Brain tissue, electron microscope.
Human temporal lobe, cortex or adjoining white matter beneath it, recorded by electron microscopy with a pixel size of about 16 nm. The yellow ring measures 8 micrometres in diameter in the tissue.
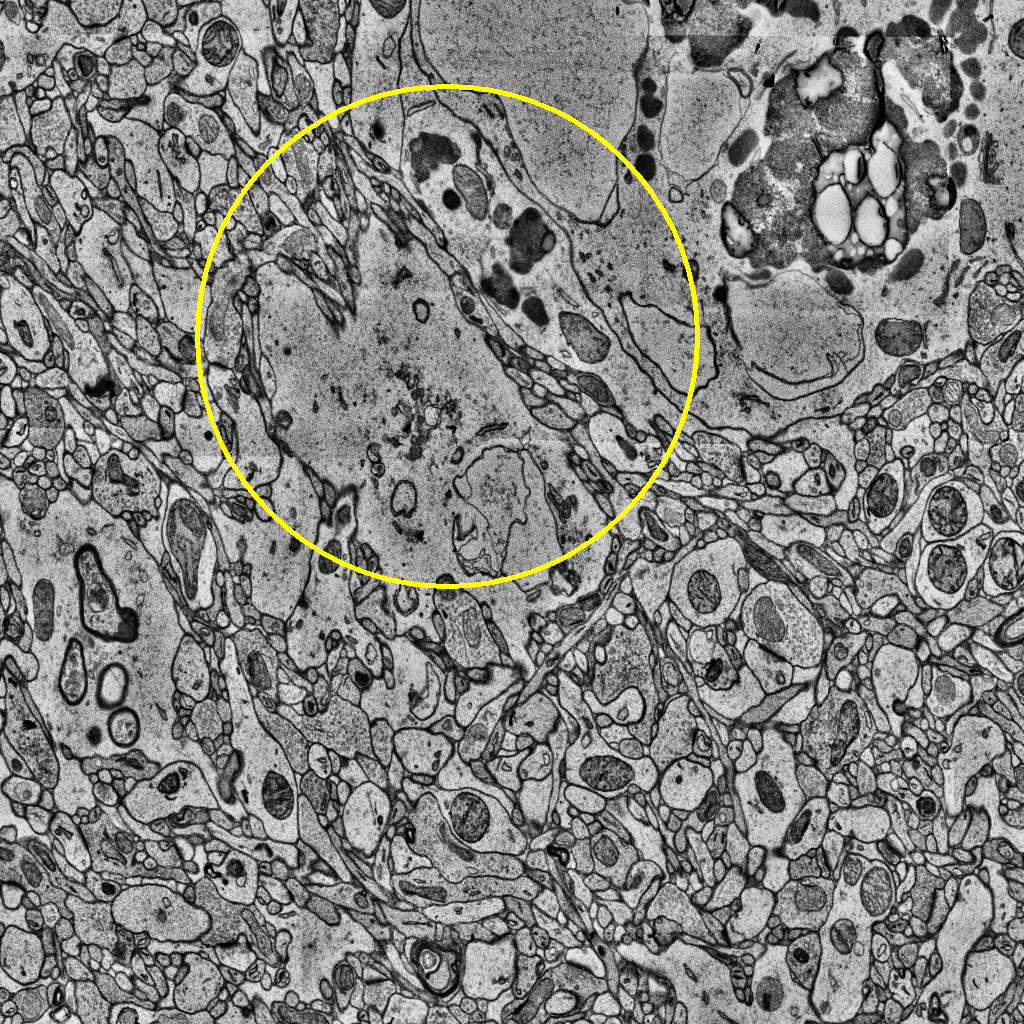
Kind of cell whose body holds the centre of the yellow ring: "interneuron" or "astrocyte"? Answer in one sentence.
The ring's centre falls on an astrocyte.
